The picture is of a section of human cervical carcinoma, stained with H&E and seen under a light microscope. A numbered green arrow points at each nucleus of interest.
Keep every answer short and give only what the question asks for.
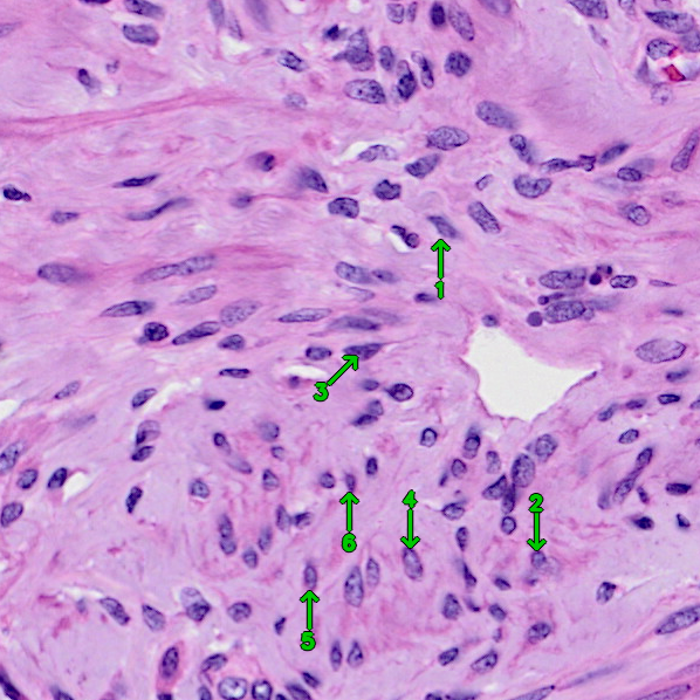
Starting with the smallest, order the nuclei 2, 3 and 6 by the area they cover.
6, 2, 3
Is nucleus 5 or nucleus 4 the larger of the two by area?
4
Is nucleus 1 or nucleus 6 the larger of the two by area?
1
